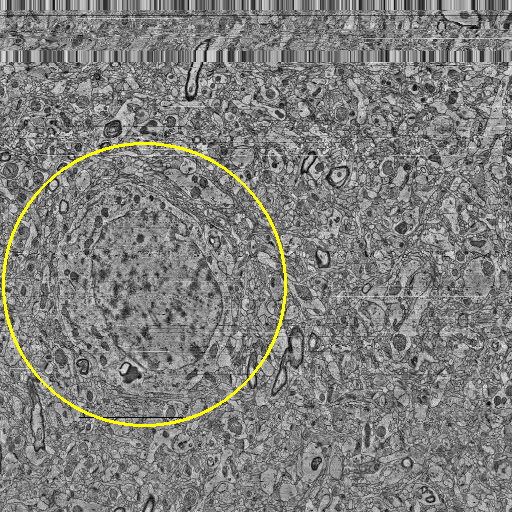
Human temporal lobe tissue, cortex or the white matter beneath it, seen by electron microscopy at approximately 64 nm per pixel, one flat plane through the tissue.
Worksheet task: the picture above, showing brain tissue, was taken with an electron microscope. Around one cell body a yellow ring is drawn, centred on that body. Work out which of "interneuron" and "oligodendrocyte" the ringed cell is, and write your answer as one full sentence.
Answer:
It is an interneuron whose cell body lies at the centre of the yellow ring.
